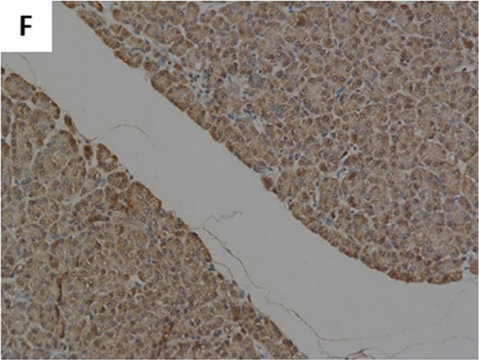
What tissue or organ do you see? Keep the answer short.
Normal pancreas tissue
